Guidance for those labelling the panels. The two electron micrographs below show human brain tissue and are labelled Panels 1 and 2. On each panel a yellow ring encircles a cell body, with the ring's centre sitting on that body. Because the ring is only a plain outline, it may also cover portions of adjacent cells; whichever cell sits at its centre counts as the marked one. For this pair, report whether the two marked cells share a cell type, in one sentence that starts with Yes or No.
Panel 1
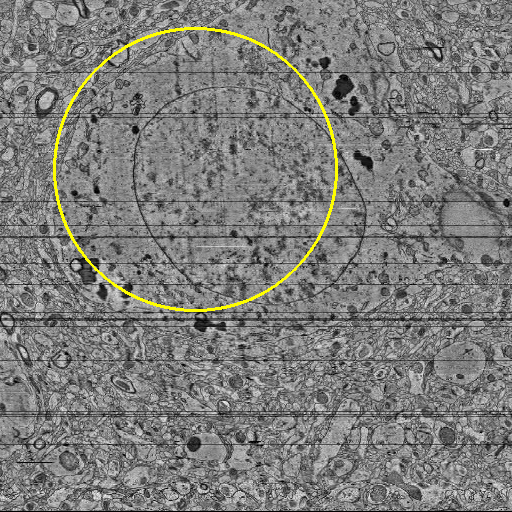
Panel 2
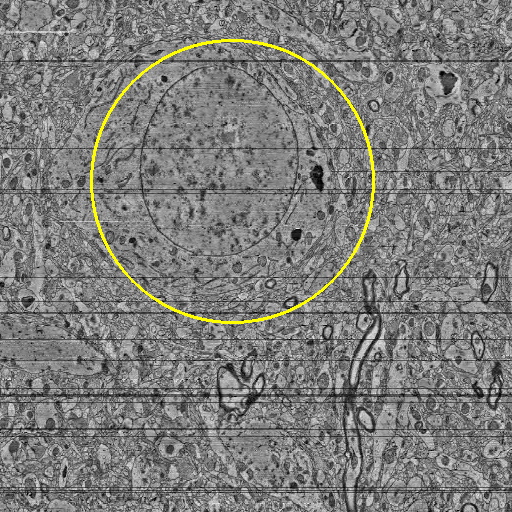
Yes, in Panel 1 and Panel 2 the marked cells at the ring centres share one type.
